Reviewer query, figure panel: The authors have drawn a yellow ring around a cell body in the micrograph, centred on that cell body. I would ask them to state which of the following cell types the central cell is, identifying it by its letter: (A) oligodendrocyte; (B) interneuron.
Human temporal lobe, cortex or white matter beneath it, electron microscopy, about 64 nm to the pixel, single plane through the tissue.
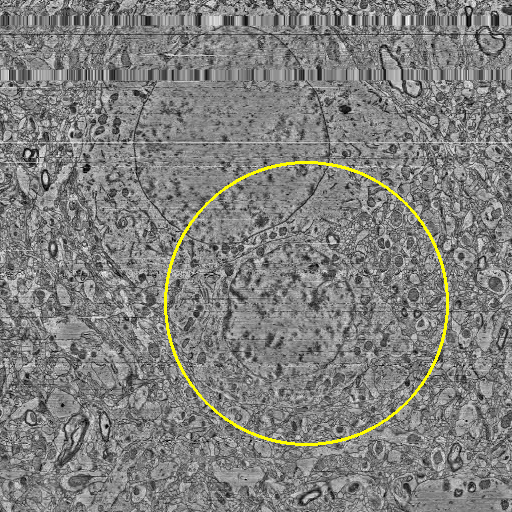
B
